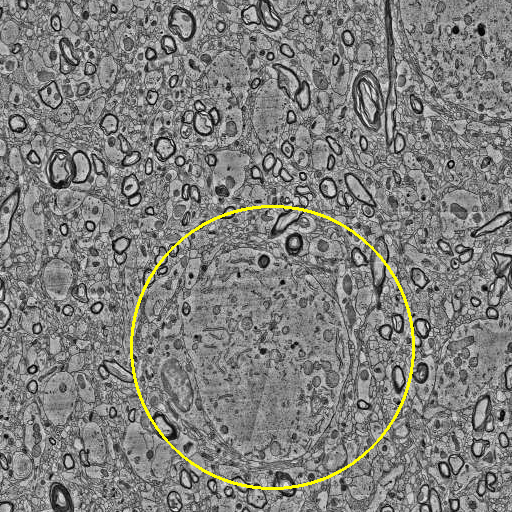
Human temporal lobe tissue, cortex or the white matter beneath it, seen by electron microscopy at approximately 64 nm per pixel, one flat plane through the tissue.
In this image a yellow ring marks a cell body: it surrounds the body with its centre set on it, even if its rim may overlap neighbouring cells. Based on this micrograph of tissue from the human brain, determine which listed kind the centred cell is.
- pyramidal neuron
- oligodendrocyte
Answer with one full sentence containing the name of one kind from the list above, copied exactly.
It is a pyramidal neuron whose body the yellow ring encloses at its centre.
